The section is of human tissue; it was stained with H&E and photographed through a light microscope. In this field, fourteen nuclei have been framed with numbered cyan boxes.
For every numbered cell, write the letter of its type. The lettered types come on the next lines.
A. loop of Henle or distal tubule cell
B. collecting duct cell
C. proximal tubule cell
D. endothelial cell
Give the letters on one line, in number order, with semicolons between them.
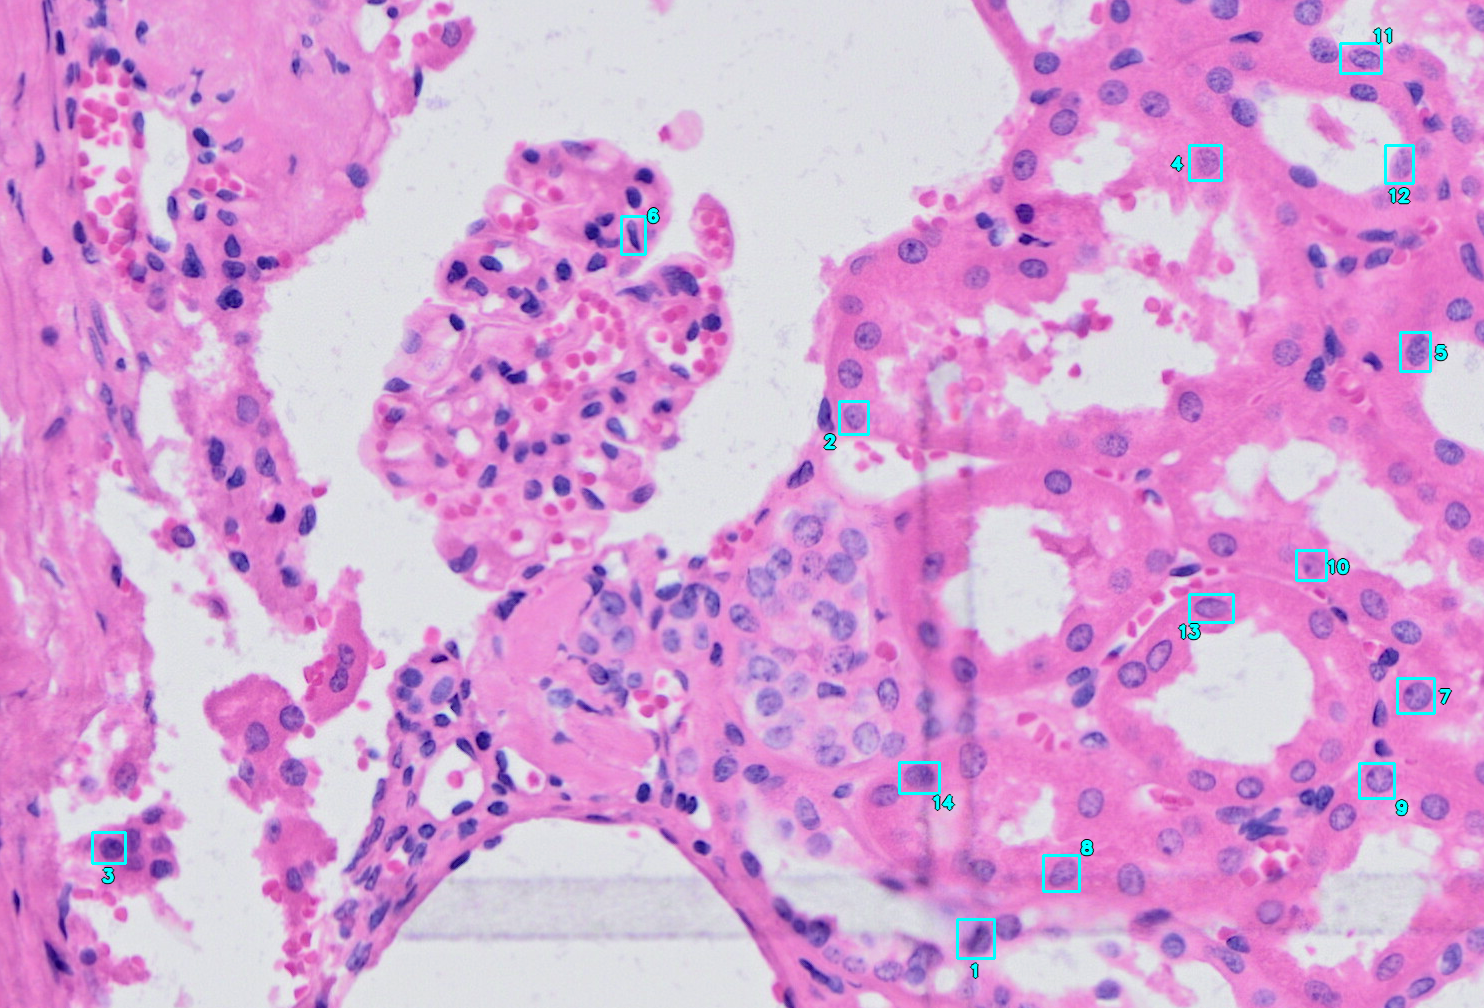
B; C; B; C; A; D; C; C; C; C; A; A; C; C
